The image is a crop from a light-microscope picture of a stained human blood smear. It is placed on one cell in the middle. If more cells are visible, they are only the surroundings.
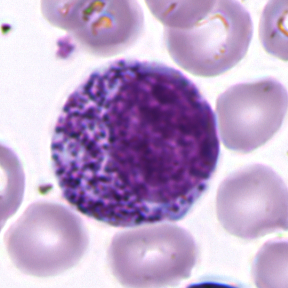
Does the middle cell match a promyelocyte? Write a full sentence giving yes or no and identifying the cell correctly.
No, it isn't a promyelocyte; what sits in the middle is a myelocyte.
